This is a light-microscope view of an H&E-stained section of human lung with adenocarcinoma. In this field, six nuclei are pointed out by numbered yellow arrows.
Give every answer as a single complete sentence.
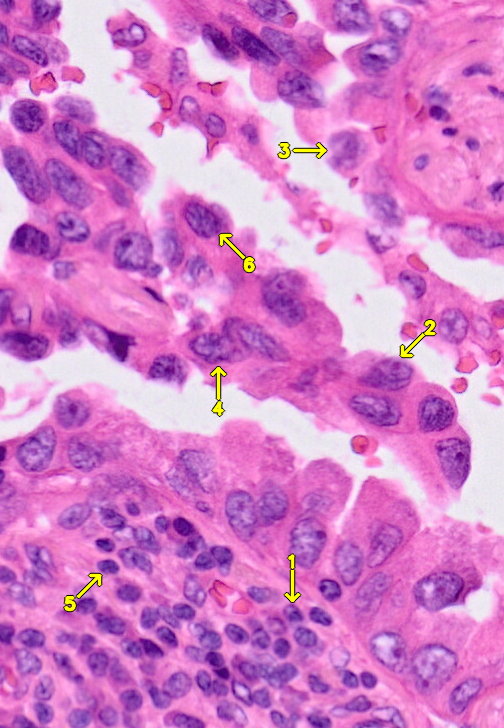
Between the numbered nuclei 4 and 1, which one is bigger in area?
It is nucleus 4, which covers about 4 times the area of nucleus 1.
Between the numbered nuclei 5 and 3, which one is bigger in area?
Number 3 is larger; its area is about 4 times that of number 5.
